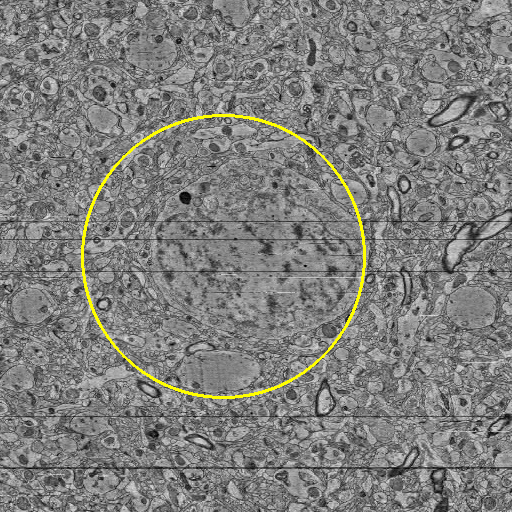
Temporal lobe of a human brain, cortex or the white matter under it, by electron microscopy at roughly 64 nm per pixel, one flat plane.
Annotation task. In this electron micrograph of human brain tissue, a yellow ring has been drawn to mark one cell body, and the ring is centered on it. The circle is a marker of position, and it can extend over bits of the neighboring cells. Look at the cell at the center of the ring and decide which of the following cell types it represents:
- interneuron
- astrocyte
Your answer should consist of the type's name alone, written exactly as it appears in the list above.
interneuron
